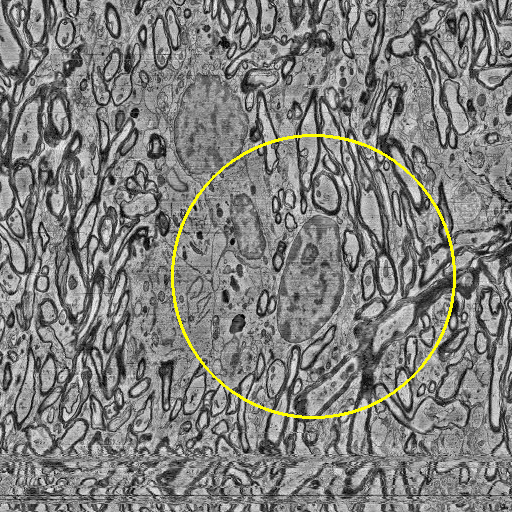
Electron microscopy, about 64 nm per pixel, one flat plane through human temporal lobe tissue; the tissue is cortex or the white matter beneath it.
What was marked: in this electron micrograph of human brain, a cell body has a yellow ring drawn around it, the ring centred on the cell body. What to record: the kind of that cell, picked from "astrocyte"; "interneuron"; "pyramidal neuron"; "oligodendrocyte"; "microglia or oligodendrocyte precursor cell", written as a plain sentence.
The centred cell is a microglial cell or oligodendrocyte precursor cell.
